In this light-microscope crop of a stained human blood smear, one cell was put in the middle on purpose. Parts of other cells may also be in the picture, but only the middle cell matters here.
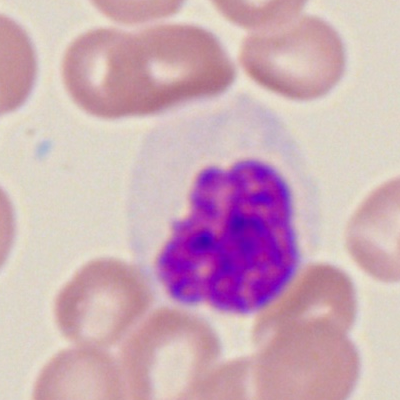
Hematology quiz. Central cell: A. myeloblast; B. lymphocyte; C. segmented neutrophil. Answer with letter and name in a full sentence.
Option C is correct in that the central cell is a segmented neutrophil.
